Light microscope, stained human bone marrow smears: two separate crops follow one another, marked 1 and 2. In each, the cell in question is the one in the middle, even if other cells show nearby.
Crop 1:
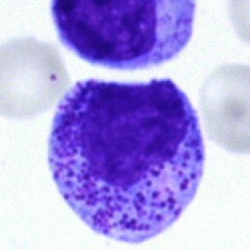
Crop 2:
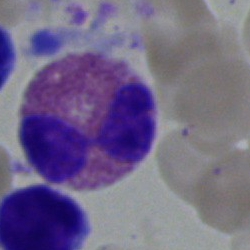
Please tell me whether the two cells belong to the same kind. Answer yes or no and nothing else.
no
